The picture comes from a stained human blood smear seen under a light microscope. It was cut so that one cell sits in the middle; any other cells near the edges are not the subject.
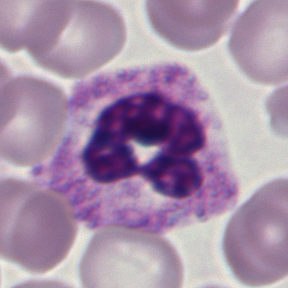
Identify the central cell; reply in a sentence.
Among the cells in view, the one in the middle is a segmented neutrophil.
